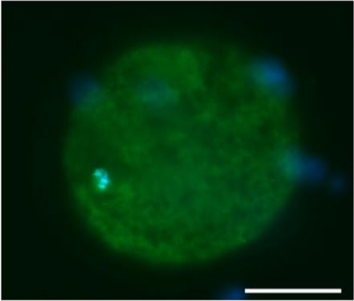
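An oocyte in fluorescence, a large round cell with diffuse green cytoplasm. Its nucleus is a small compact blue body near one edge, overlapped by a bright green focus, while several larger, paler blue nuclei lie outside the oocyte around its rim.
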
